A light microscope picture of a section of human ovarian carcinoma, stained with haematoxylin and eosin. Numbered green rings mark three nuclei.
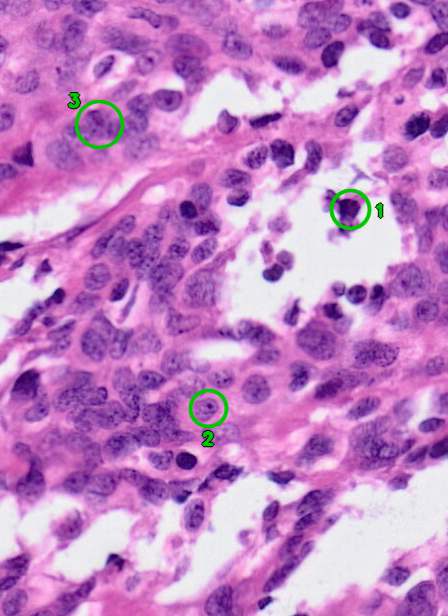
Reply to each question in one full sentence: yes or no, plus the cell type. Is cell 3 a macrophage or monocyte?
No, the nucleus numbered 3 belongs to a carcinoma cell, not a macrophage or monocyte.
